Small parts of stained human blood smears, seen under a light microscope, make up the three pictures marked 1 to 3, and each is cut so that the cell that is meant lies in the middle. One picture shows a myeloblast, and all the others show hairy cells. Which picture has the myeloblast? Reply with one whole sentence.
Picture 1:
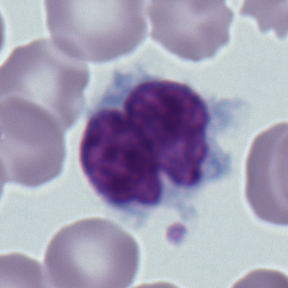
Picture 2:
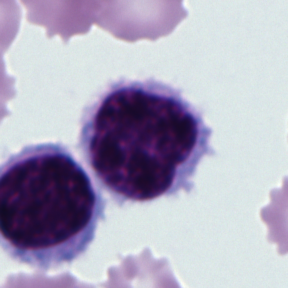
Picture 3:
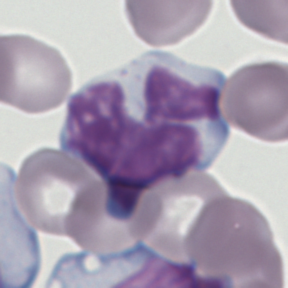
The cell in picture 3 is the myeloblast.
